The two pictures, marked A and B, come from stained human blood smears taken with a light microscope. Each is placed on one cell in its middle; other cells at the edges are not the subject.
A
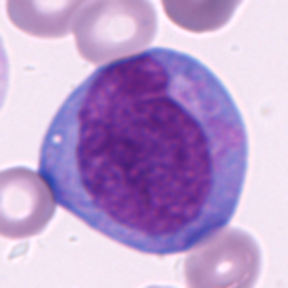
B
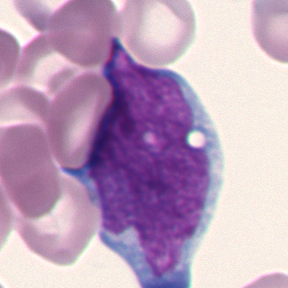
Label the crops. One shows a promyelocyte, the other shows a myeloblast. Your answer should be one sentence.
In crop B the central cell is a myeloblast, and in crop A it is a promyelocyte.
